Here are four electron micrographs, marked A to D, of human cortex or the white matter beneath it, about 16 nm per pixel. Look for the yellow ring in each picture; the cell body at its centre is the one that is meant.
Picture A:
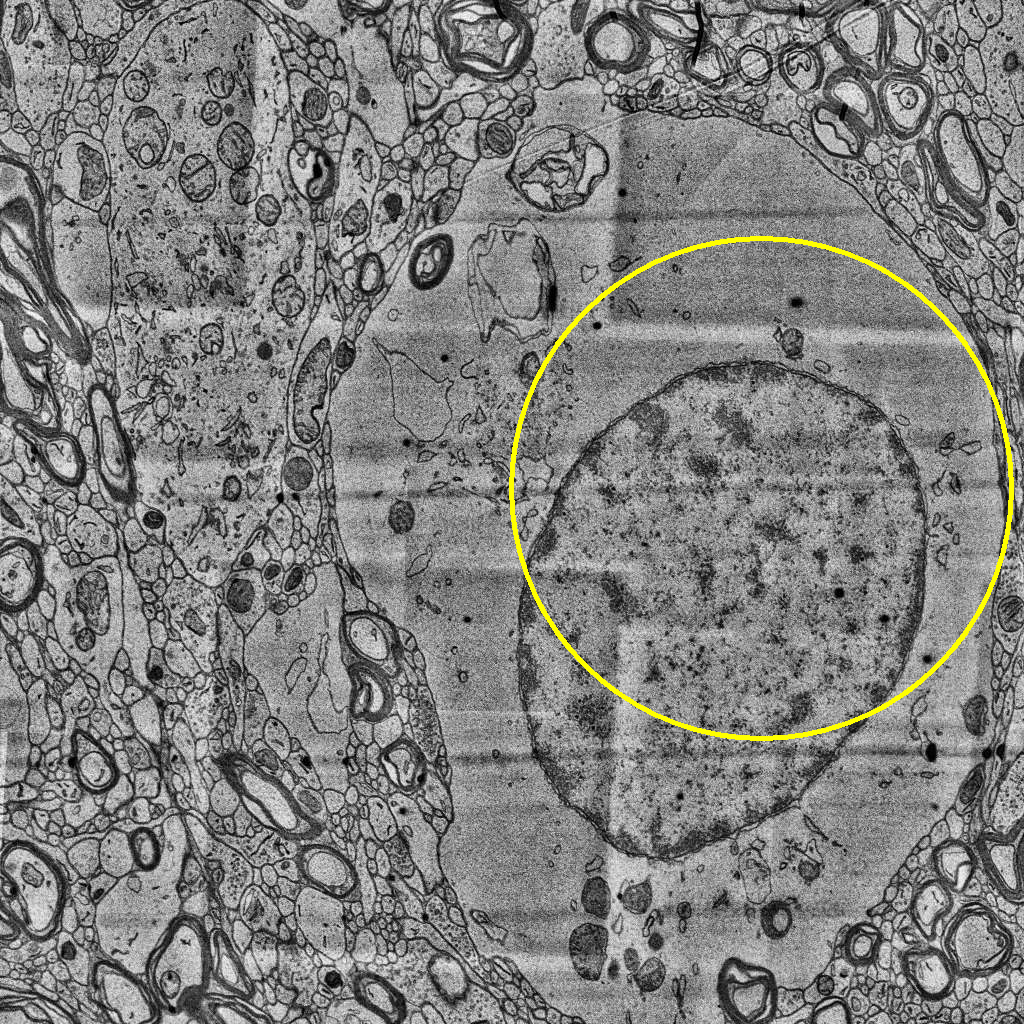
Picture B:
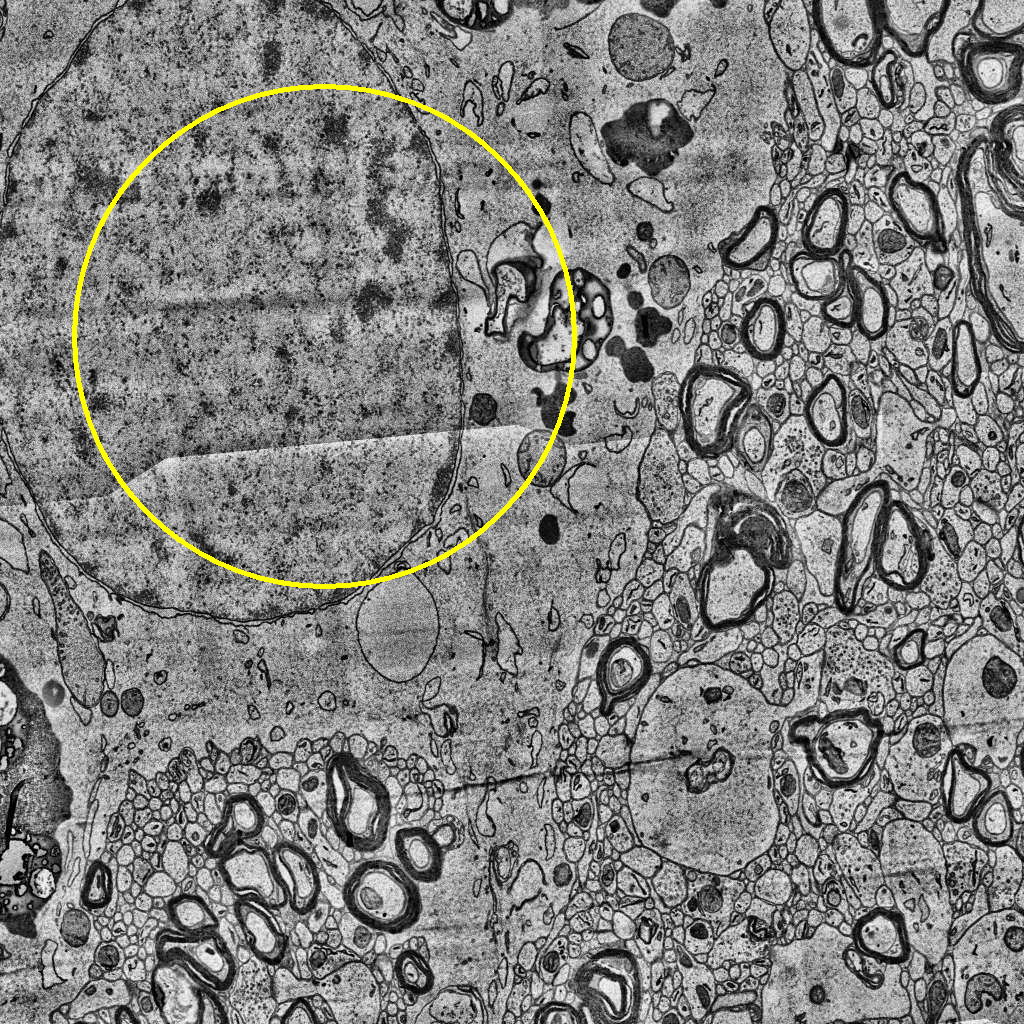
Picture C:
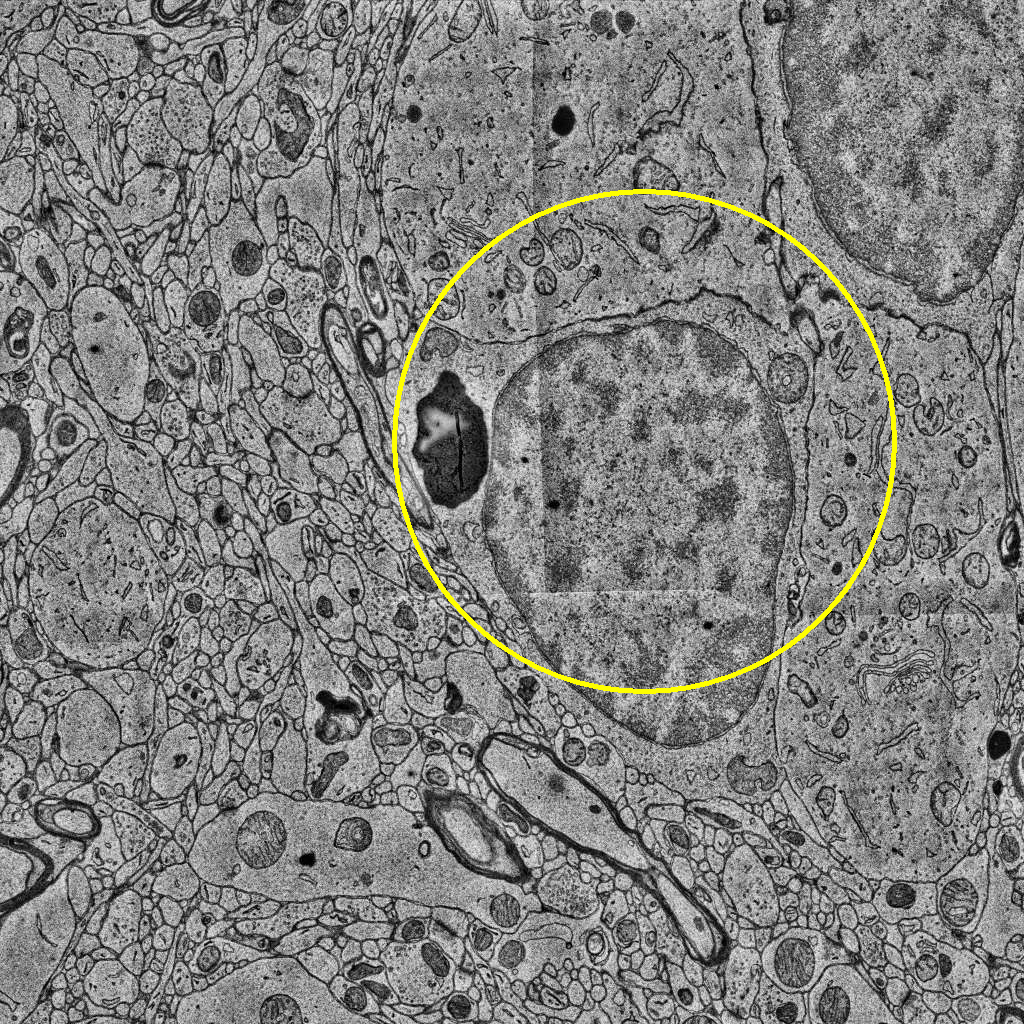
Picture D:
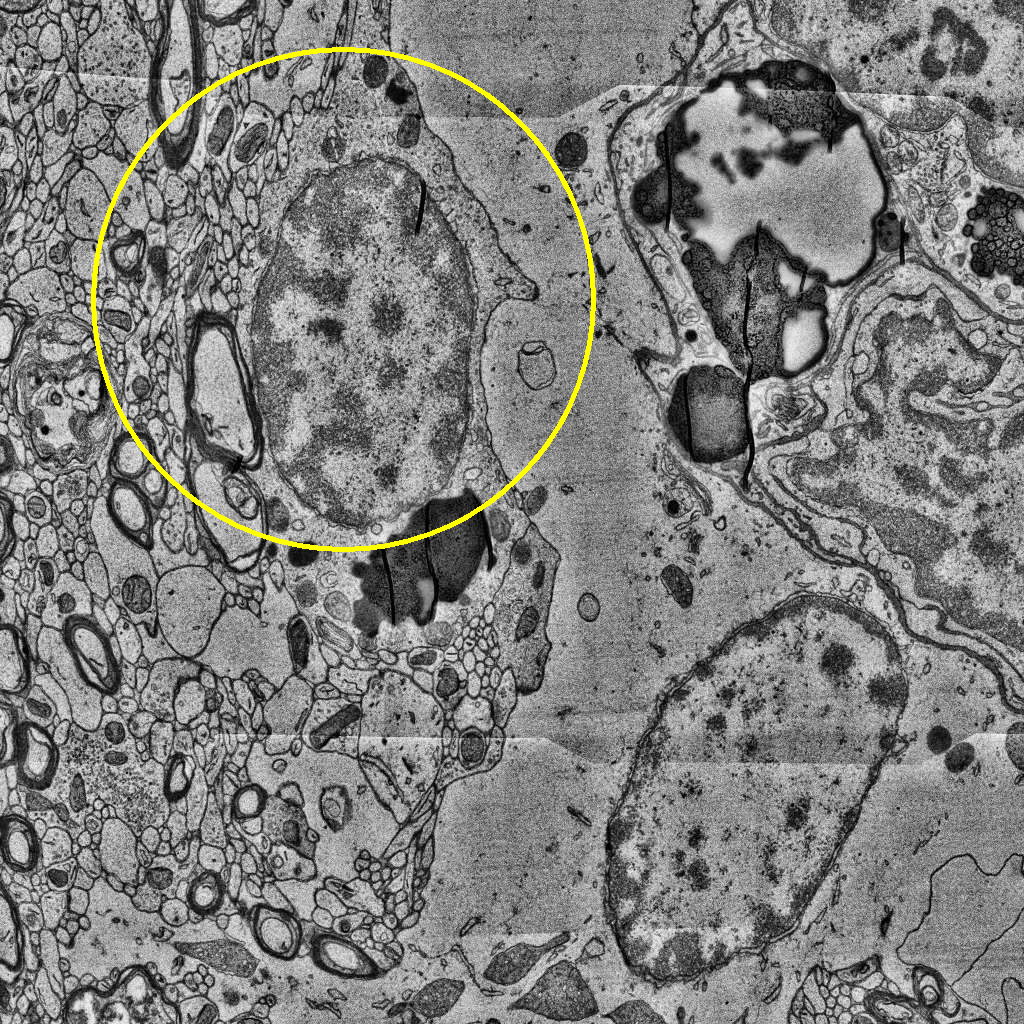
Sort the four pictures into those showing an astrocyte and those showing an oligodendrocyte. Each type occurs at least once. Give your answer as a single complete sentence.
Pictures A and B show astrocytes; pictures C and D show oligodendrocytes.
